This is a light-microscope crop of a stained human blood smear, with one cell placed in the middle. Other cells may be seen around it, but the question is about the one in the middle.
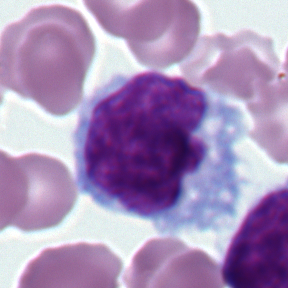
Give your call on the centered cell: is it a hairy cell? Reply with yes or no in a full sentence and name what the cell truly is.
Yes, the cell at the very centre of the crop is a hairy cell.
